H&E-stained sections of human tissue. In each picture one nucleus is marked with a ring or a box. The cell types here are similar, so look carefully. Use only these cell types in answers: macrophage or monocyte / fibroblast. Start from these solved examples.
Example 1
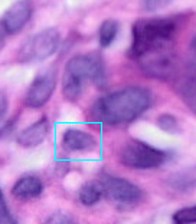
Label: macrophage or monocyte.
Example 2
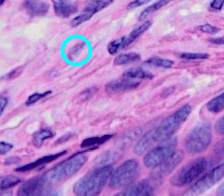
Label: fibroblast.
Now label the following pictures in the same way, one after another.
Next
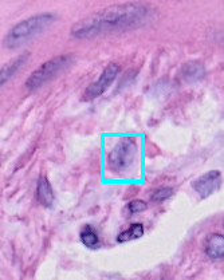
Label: fibroblast.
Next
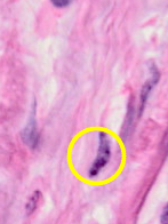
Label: fibroblast.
